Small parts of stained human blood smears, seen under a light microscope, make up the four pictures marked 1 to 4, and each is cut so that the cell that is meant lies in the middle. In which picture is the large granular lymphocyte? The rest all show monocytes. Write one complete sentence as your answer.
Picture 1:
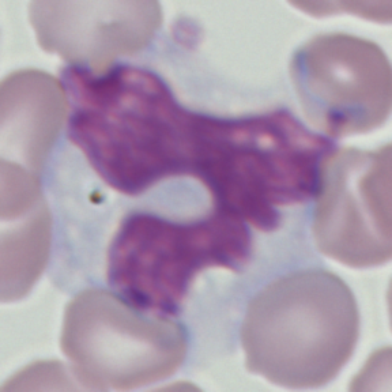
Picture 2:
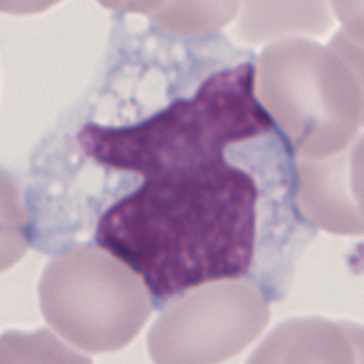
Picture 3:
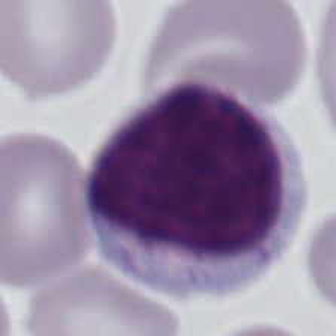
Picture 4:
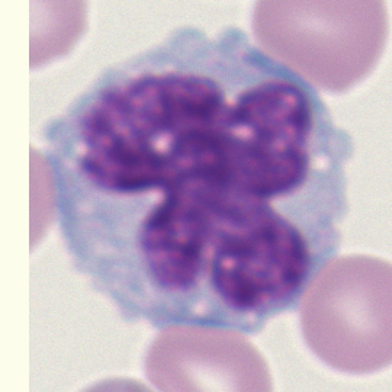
Picture 3 shows the large granular lymphocyte.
